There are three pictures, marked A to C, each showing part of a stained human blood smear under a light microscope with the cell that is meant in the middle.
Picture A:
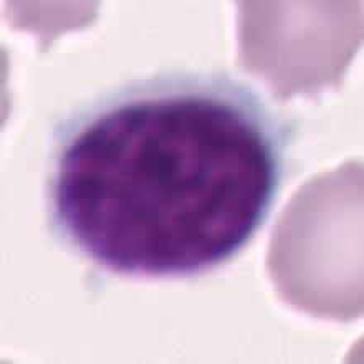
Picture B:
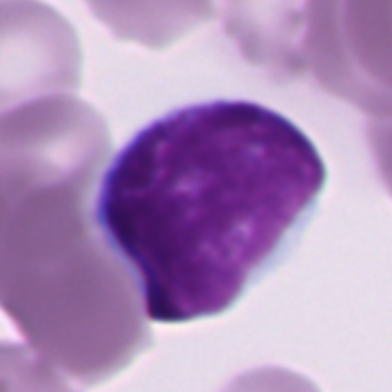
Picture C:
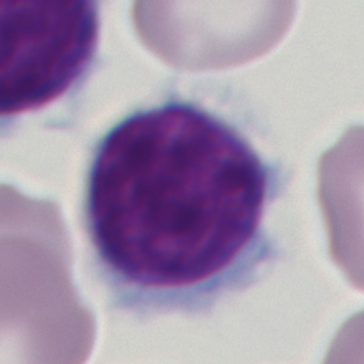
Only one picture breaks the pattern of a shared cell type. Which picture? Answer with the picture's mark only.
B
